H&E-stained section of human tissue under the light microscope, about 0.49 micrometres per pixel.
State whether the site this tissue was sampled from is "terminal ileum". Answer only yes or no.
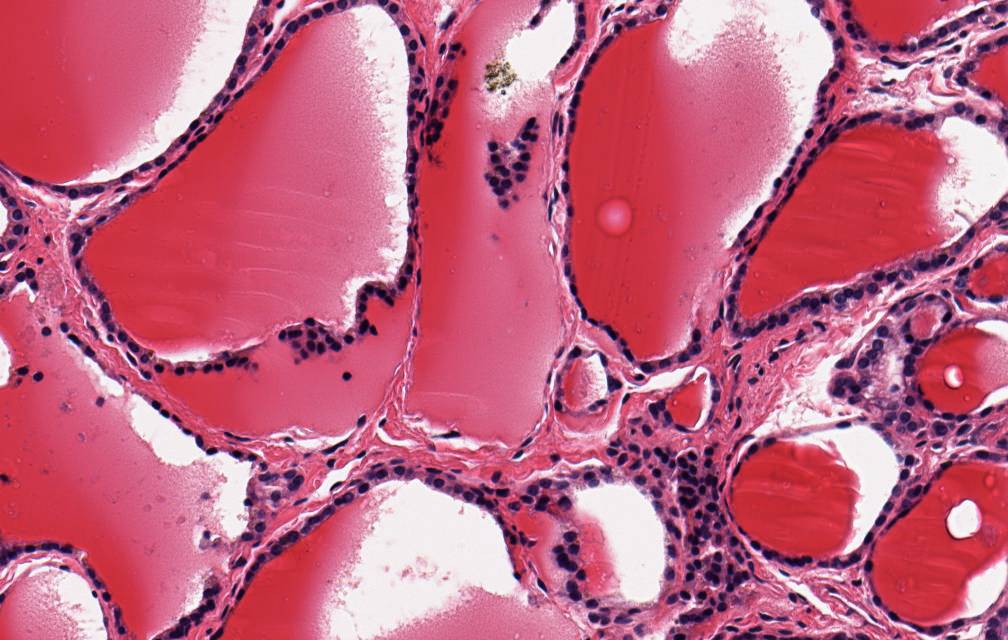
no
